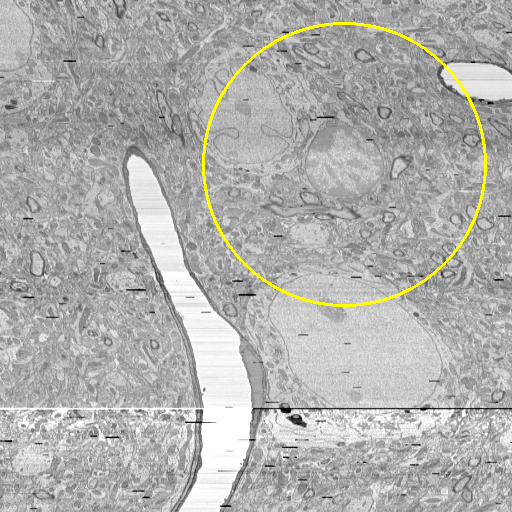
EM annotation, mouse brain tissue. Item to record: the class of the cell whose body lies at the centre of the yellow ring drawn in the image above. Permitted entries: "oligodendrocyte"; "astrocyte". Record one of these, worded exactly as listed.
oligodendrocyte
